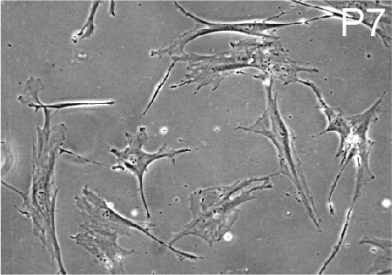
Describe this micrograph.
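Scattered cultured cells lie sparsely on the dish, each small and separate from its neighbours. Most are spindle-shaped or star-shaped, with slender processes drawn out to several sides.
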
